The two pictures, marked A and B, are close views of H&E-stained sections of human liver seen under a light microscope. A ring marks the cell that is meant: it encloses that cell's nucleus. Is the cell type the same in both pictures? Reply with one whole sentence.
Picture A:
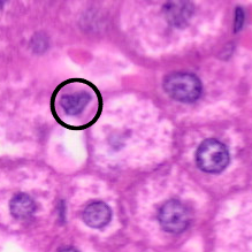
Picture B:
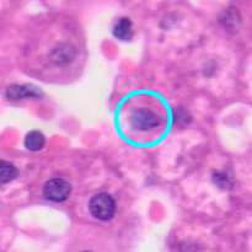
Yes; the cells in both pictures are “fibroblasts or stellate cells”.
